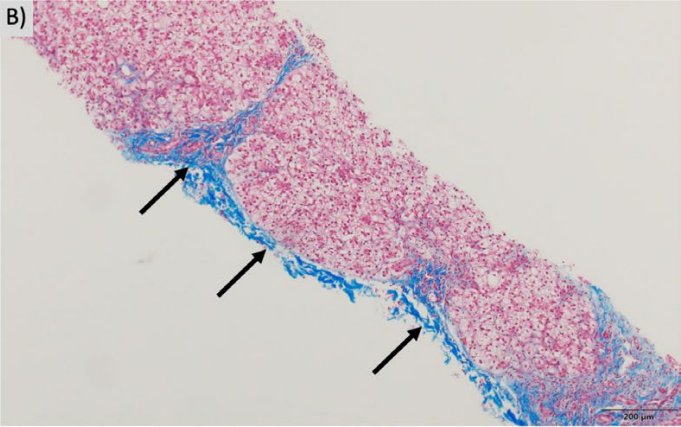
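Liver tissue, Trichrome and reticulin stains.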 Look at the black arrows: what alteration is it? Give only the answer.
focal bridging fibrosis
